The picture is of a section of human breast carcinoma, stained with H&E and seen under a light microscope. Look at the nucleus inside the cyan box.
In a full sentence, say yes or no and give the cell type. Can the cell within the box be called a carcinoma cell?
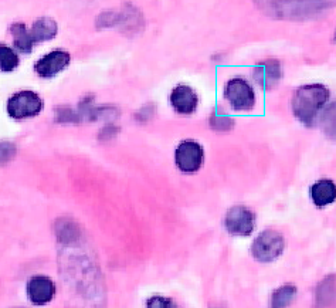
No, the cell within the box is a lymphocyte, and it is not a carcinoma cell.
